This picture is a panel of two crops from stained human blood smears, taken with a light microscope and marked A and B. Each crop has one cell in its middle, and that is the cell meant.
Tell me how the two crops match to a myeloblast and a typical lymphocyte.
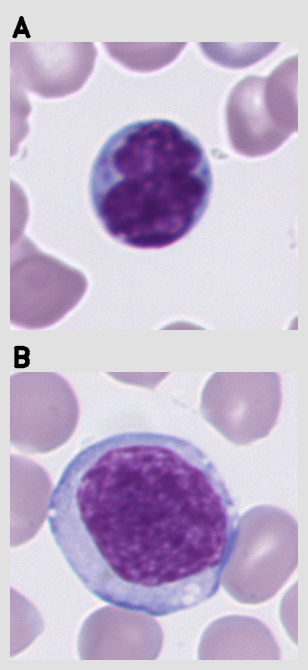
A: typical lymphocyte
B: myeloblast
